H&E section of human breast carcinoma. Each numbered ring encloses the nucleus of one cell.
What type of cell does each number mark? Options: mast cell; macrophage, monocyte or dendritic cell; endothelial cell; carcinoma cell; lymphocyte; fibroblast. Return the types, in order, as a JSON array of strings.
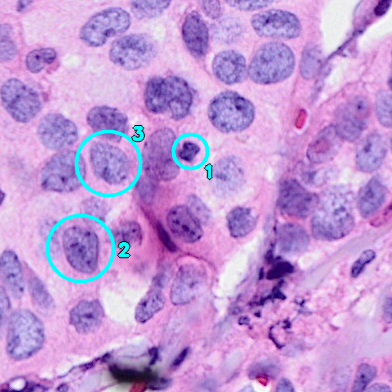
["lymphocyte", "carcinoma cell", "carcinoma cell"]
